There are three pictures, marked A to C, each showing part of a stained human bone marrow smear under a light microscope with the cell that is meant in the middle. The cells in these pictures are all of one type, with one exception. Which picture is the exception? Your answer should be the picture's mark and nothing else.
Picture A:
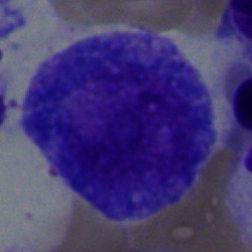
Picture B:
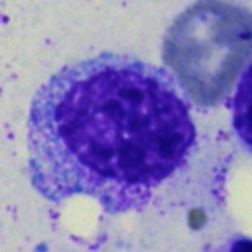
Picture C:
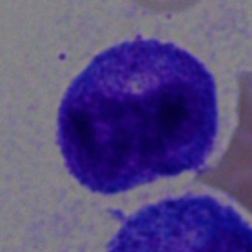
B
